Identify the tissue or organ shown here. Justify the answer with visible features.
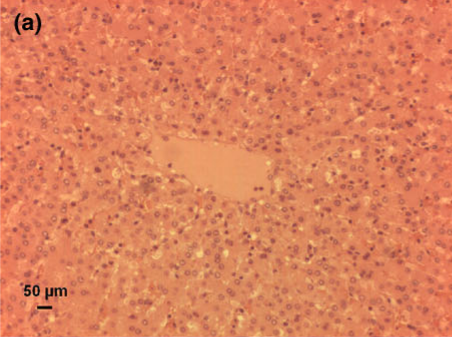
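A large vessel lumen lies in the centre with cords of cells radiating around it. Sheets of polygonal cells with round central nuclei fill the field. Narrow spaces run between the cell cords.
Answer: liver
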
